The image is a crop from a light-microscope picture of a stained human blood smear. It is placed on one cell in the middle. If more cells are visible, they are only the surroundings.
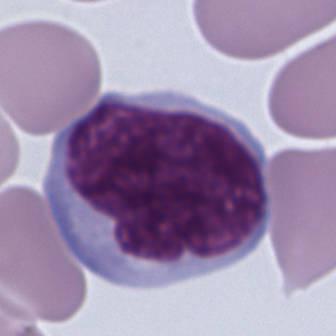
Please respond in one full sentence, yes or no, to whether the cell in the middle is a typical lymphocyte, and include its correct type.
Yes, a typical lymphocyte occupies the middle of the crop.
